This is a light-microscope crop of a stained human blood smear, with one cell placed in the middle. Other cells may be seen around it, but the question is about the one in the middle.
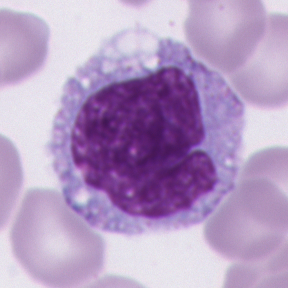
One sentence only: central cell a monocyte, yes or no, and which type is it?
Yes, the cell in the center of the field is a monocyte.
